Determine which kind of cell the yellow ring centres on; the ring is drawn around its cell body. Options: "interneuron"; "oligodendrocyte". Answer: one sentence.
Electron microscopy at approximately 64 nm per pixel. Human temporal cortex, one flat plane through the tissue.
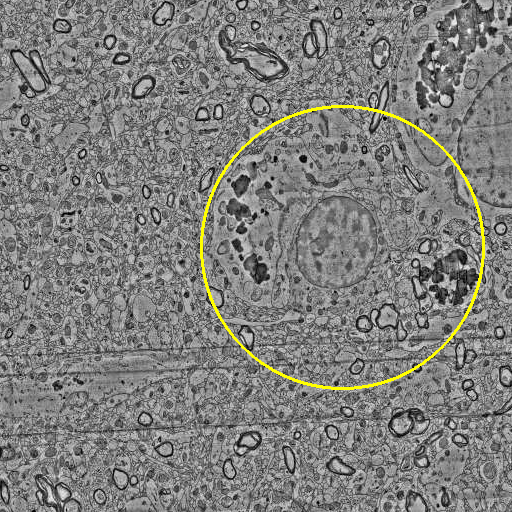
The ring centres on an oligodendrocyte.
